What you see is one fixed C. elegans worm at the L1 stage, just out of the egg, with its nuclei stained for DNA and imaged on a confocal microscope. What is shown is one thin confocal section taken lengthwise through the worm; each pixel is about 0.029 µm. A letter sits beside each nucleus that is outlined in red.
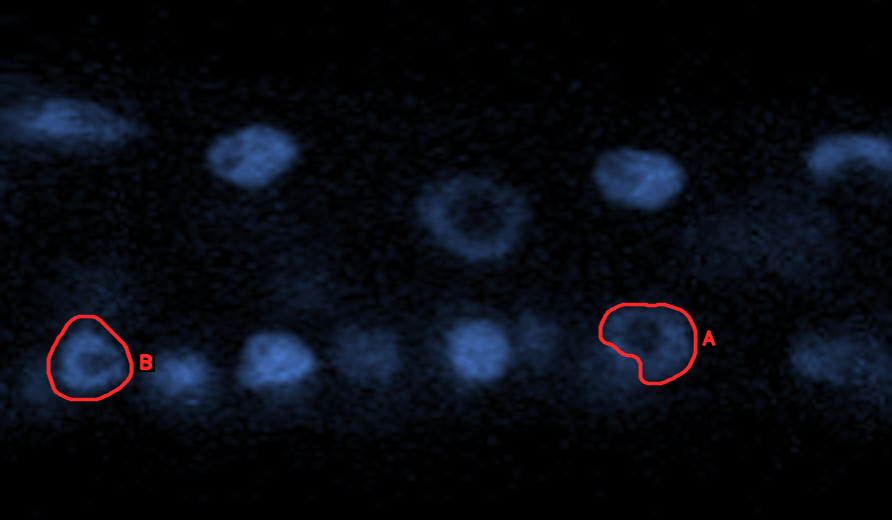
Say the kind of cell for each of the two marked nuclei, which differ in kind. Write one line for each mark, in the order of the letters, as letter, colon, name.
A: seam cell
B: body wall muscle cell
